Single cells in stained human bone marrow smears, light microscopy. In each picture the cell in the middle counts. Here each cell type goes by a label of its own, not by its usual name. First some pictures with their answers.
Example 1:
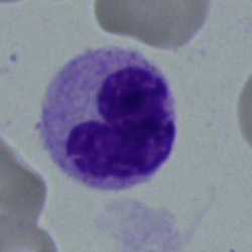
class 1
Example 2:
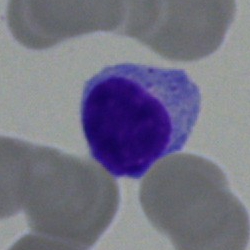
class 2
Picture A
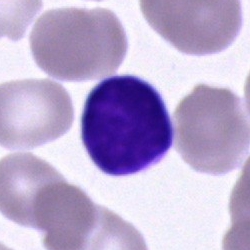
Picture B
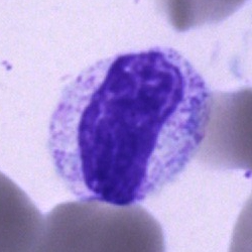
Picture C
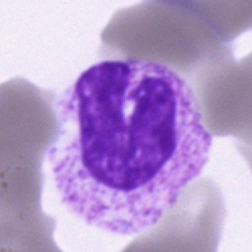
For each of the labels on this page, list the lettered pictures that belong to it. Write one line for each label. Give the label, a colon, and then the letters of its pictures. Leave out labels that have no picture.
class 1: B, C
class 2: A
